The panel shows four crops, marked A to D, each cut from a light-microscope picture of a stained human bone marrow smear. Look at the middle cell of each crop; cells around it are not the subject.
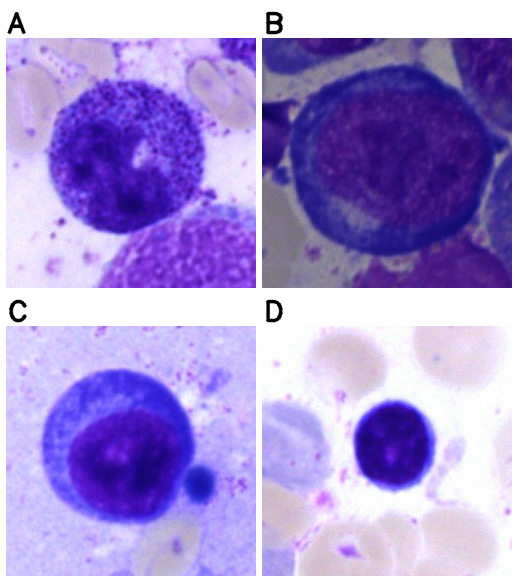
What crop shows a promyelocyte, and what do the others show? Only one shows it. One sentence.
It is a promyelocyte that crop A shows, while crop B is a proerythroblast, crop C is a plasma cell and crop D is a lymphocyte.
